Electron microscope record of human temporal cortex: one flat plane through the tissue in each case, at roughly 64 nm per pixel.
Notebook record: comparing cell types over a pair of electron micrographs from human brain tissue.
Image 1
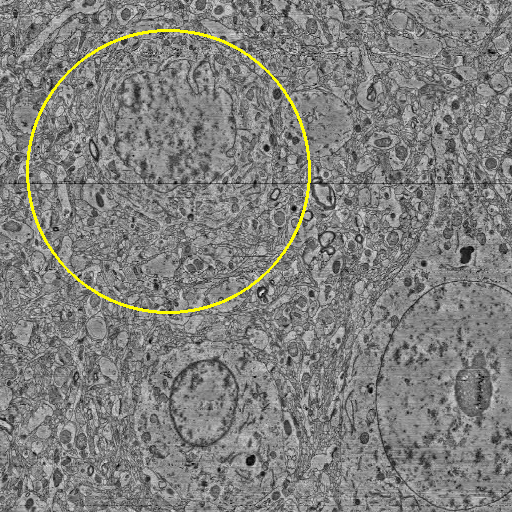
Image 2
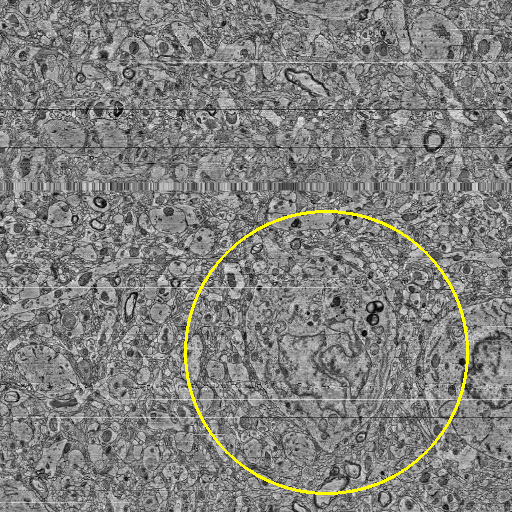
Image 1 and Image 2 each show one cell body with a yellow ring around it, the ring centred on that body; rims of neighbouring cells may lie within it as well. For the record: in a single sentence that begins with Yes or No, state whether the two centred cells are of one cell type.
Yes, one cell type is shared by the centred cells of Image 1 and Image 2.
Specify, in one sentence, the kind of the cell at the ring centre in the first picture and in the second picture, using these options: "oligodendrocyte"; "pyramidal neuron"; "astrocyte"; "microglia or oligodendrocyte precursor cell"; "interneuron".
The ring centre holds an interneuron in each of the two pictures.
